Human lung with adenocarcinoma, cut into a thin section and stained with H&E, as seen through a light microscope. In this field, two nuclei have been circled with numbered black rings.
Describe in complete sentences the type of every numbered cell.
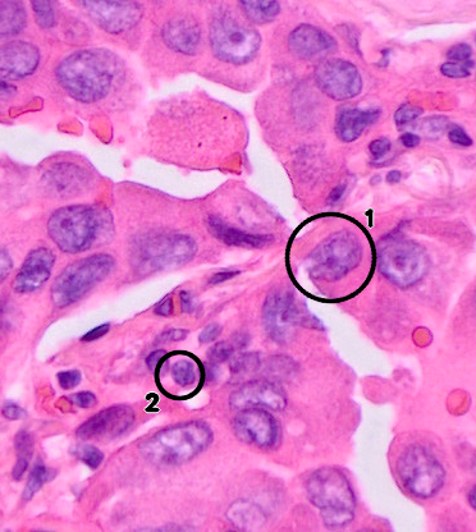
Cell 1 is a carcinoma cell. Cell 2 is a lymphocyte.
